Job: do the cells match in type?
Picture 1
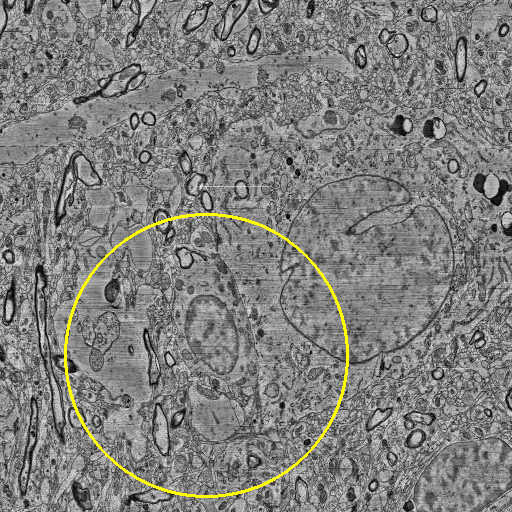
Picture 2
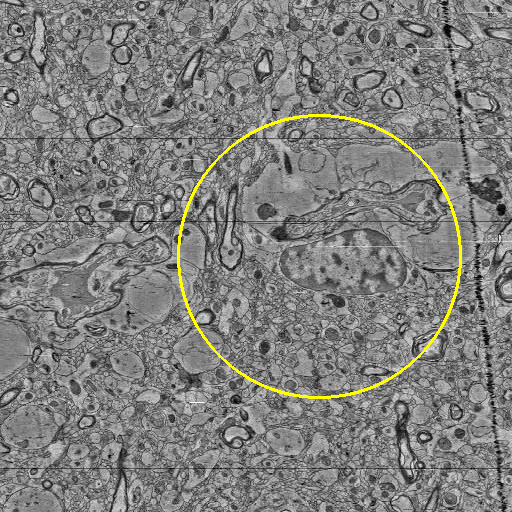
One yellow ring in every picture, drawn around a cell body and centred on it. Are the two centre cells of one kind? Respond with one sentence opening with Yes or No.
No, the ringed cells in the two pictures are of two separate kinds.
